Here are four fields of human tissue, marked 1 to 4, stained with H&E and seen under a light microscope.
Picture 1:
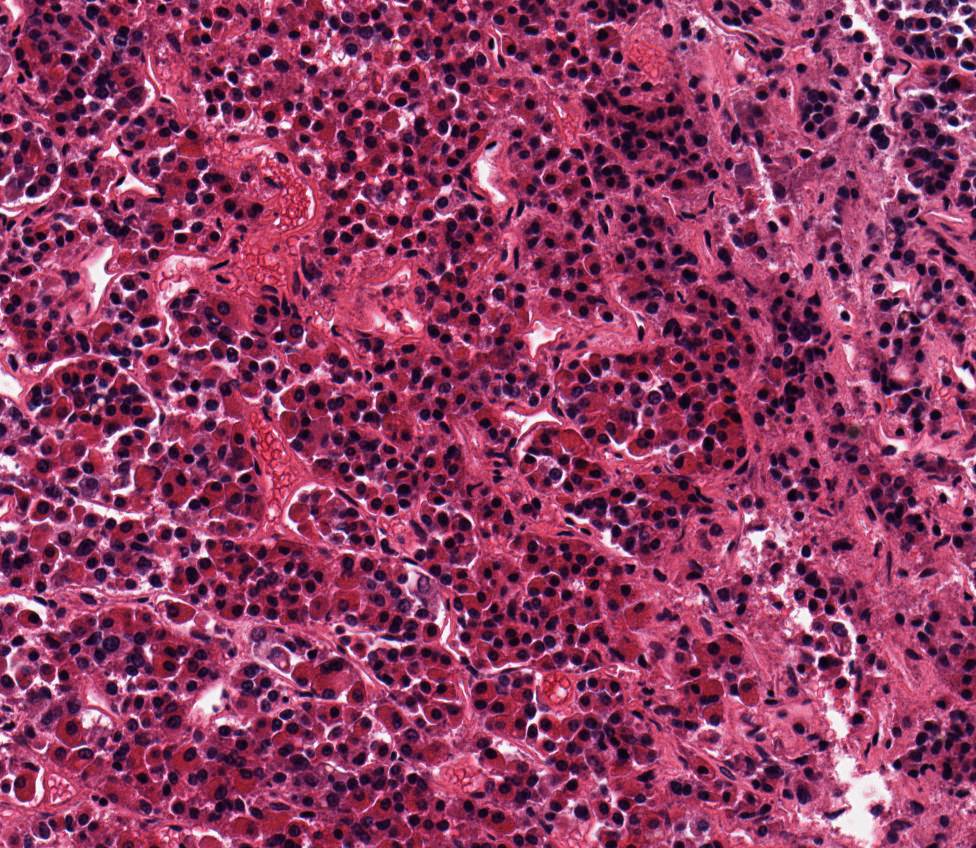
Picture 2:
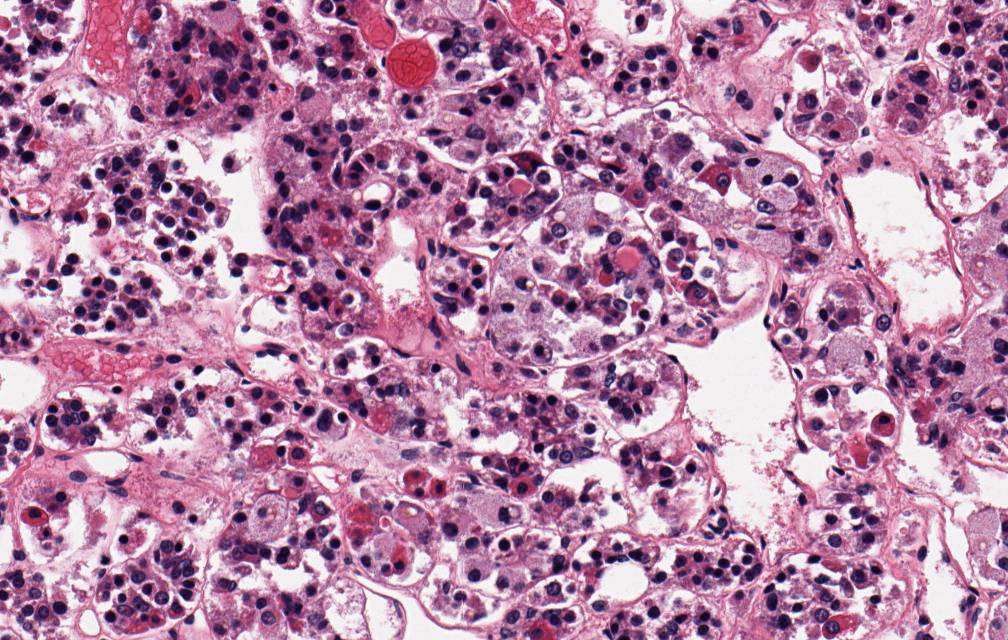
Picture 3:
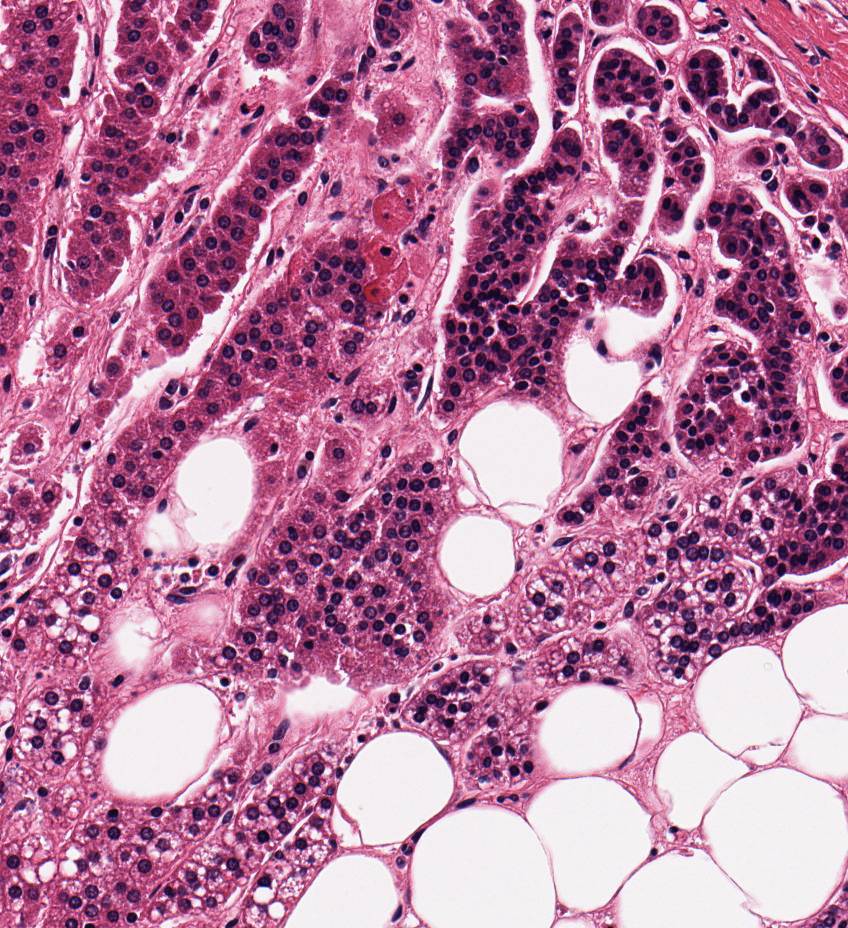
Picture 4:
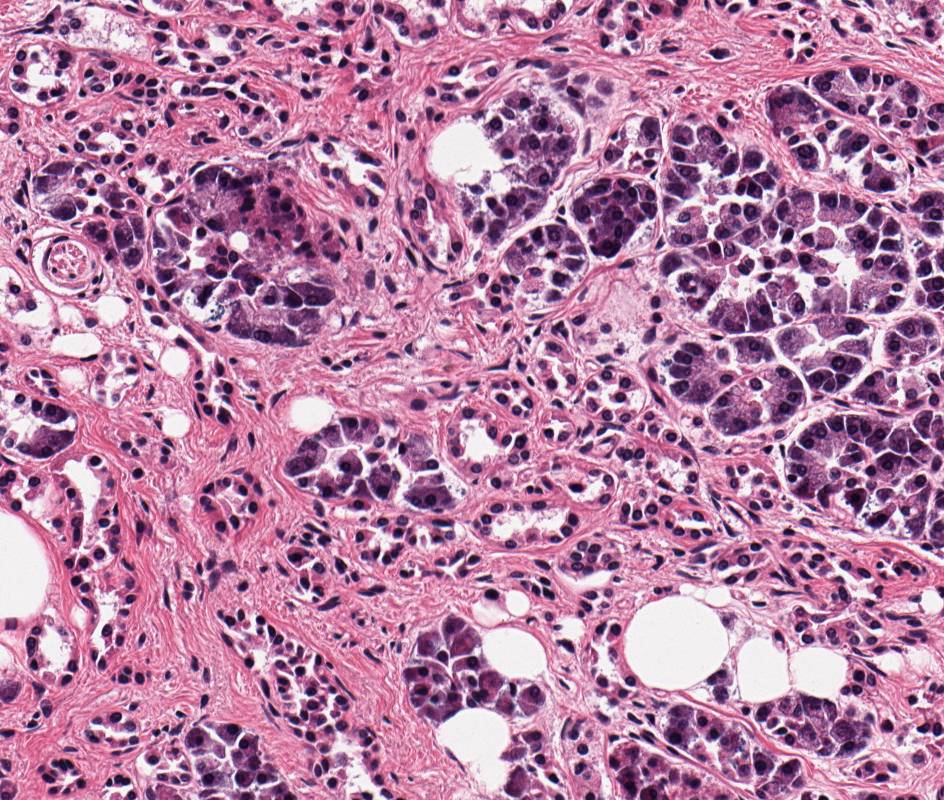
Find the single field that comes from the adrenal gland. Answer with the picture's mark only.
3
